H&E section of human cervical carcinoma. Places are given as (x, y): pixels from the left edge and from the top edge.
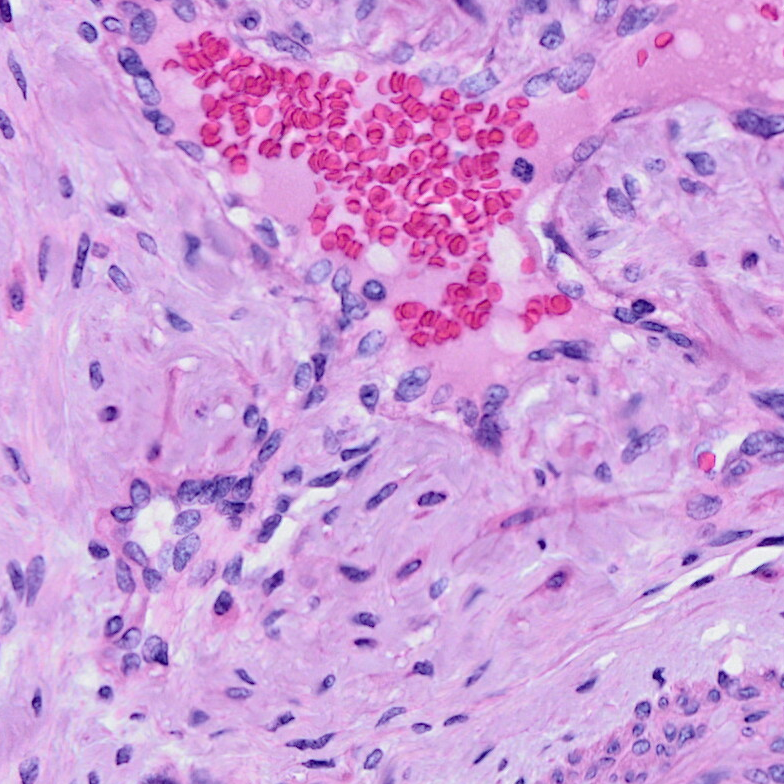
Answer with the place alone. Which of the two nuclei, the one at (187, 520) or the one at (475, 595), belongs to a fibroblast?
(475, 595)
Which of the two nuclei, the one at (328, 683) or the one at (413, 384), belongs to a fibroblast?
(328, 683)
